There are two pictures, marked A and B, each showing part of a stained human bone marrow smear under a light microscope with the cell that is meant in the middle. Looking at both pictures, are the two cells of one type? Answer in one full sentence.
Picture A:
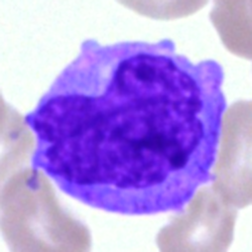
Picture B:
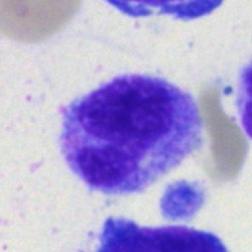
Yes; the cells in both pictures are monocytes.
